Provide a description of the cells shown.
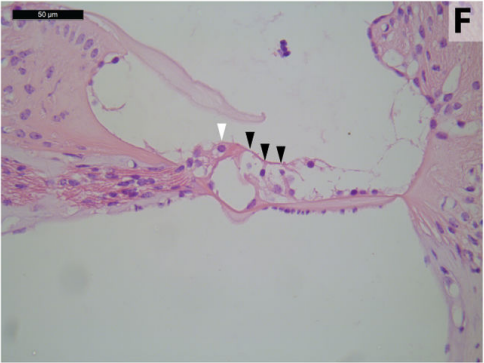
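A section through the cochlear duct shows the sensory epithelium lying on a thin pink basilar membrane between the inner bony shelf and the outer wall. A pale pink acellular membrane projects from the left and ends freely above the epithelium. The hair cells marked by arrowheads have round purple nuclei and lie beside a pink pillar-like structure with a rounded clear space beneath it. Lateral to them the epithelium contains vacuolated spaces and then flattens into a thin cell layer.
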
